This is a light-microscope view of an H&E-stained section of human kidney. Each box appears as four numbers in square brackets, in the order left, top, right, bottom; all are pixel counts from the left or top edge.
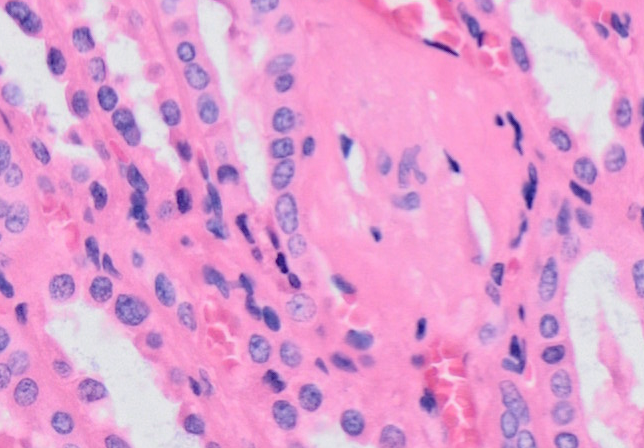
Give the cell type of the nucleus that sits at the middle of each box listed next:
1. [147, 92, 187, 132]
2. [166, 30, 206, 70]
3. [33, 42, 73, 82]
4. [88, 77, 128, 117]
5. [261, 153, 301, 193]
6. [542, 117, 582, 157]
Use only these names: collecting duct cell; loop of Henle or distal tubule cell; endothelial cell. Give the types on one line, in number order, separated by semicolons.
loop of Henle or distal tubule cell; collecting duct cell; loop of Henle or distal tubule cell; loop of Henle or distal tubule cell; collecting duct cell; loop of Henle or distal tubule cell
